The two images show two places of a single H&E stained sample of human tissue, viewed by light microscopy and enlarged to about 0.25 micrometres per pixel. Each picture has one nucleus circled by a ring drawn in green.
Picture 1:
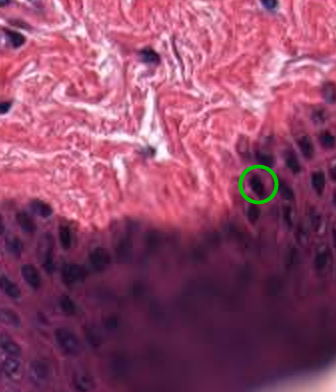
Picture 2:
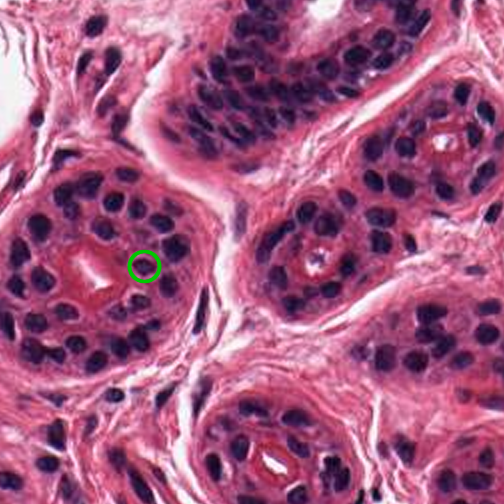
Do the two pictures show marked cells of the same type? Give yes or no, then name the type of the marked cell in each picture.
No, the first is a keratinocyte and the second a sweat gland cell.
